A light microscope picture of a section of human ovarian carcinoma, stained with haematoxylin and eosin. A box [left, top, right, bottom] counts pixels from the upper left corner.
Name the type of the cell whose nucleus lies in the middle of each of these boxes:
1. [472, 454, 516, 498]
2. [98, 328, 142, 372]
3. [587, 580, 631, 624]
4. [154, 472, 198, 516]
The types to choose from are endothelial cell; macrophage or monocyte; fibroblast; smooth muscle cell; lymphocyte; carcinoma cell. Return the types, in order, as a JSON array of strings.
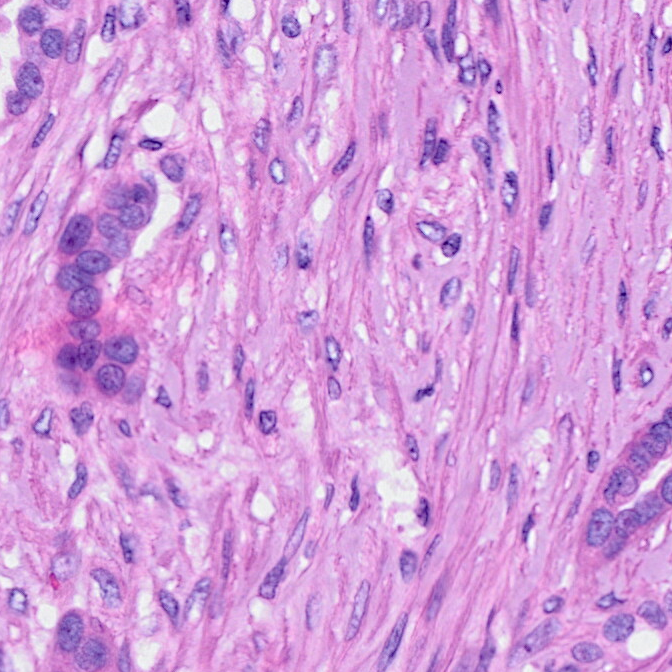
["fibroblast", "carcinoma cell", "fibroblast", "fibroblast"]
